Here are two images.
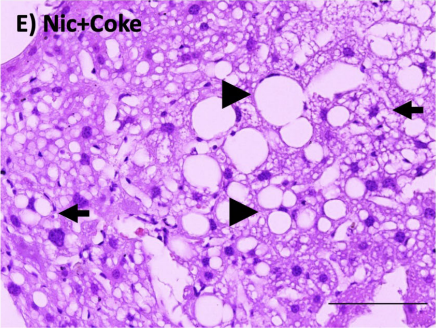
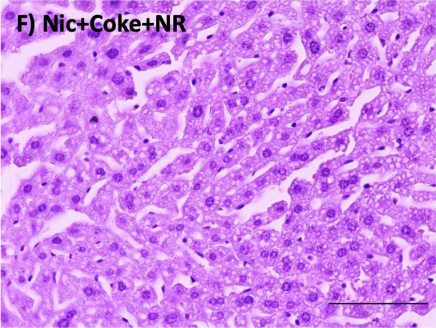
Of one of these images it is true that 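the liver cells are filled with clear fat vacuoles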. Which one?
The first image.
